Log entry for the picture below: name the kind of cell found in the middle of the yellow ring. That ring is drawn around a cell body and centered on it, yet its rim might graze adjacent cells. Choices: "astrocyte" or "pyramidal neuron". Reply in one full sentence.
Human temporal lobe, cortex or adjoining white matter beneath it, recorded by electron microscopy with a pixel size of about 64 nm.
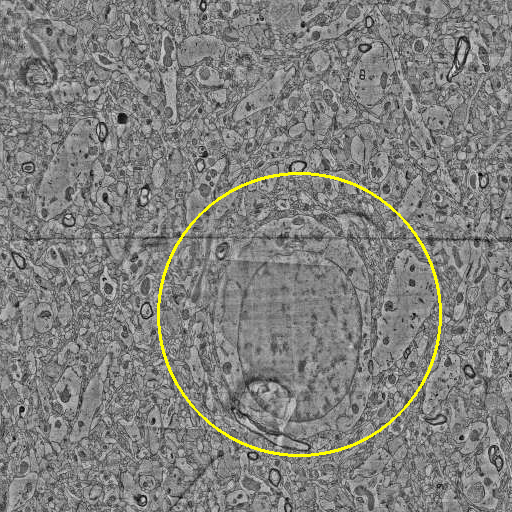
The cell in the middle of the yellow ring in this picture is a pyramidal neuron.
